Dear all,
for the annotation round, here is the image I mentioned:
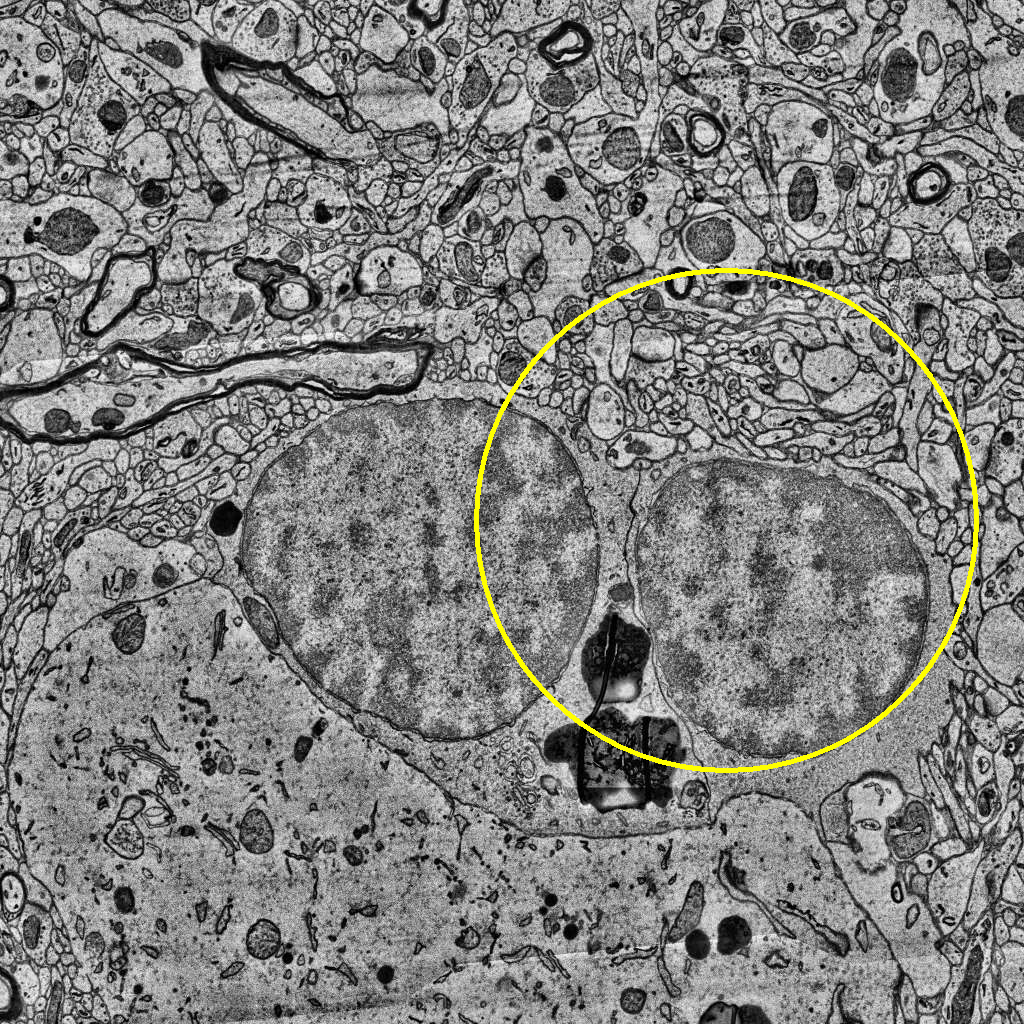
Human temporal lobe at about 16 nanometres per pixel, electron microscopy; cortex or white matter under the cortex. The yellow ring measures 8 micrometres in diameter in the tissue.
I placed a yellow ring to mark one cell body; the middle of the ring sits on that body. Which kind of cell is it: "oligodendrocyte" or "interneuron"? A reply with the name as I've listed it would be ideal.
oligodendrocyte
